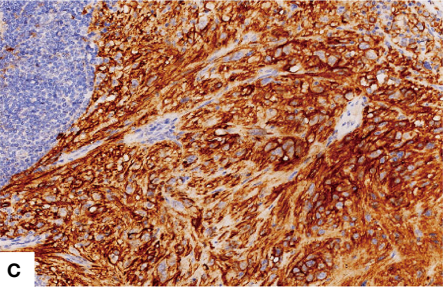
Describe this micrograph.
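A tumor of spindle cells, with some signet-ring lipoblast-like cells, abuts a sheet of small round lymphoid-looking cells at the upper left. The tumor cells are elongated and arranged in sweeping fascicles, and their cytoplasm and cell borders are strongly stained dark brown. Scattered clear vacuoles sit within some tumor cells, and thin strands of pale stroma with blue nuclei divide the fascicles. The small round cells at the edge stay blue and unstained.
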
